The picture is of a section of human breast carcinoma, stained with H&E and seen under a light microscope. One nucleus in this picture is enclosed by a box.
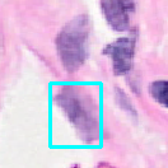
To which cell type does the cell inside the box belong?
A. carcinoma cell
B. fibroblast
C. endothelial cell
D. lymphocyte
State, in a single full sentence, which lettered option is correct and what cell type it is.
Option C names the cell inside the box correctly as an endothelial cell.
